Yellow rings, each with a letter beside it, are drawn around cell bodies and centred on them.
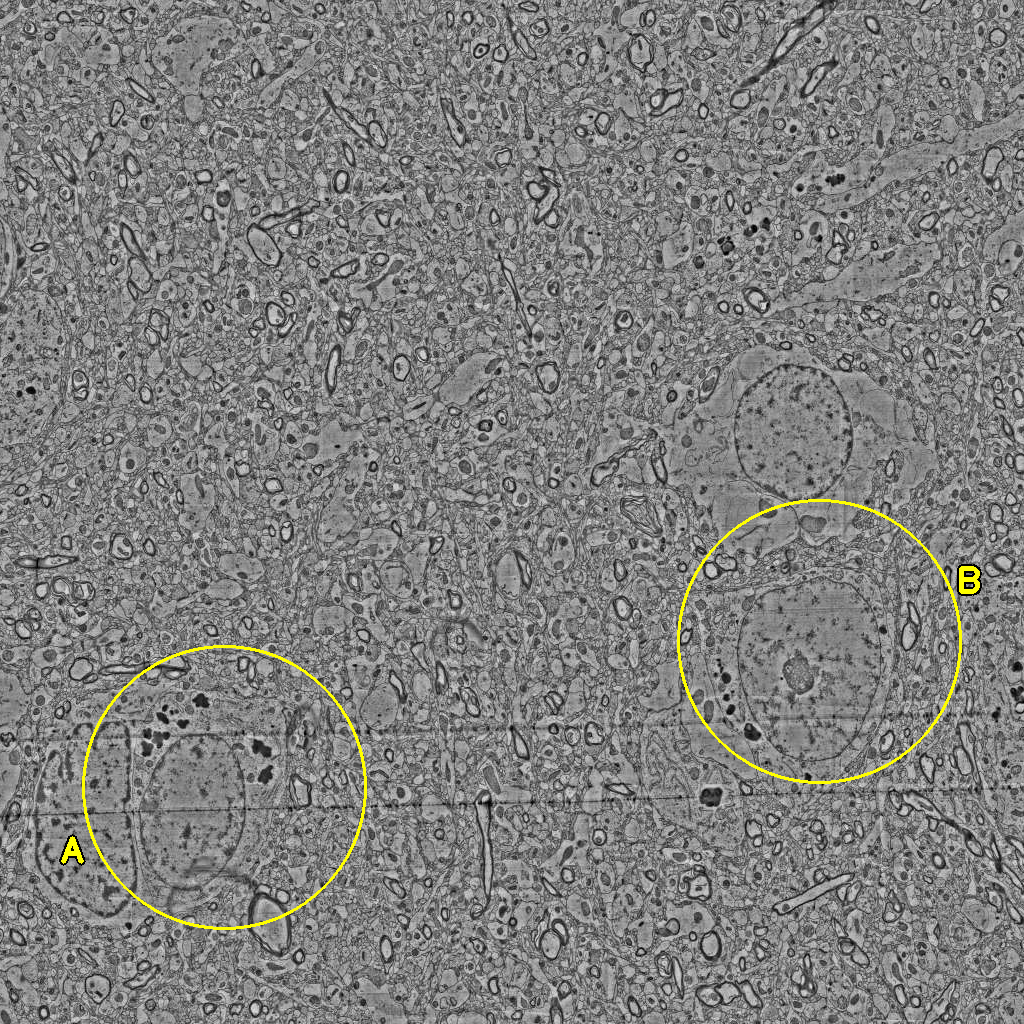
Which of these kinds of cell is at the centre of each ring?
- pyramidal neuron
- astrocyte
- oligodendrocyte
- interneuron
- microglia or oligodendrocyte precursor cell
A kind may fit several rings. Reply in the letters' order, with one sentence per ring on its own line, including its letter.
The cell in the middle of ring A is an interneuron.
The cell in the middle of ring B is a pyramidal neuron.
